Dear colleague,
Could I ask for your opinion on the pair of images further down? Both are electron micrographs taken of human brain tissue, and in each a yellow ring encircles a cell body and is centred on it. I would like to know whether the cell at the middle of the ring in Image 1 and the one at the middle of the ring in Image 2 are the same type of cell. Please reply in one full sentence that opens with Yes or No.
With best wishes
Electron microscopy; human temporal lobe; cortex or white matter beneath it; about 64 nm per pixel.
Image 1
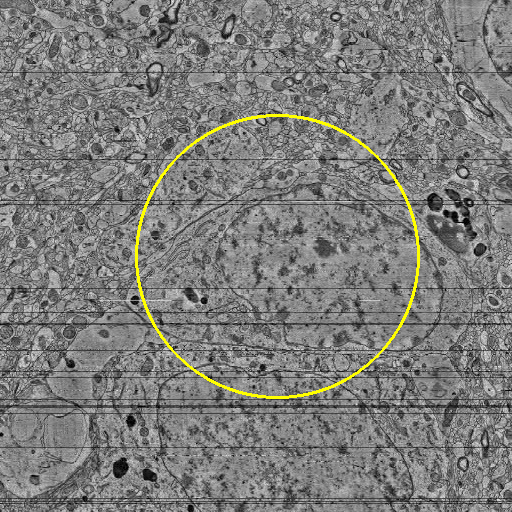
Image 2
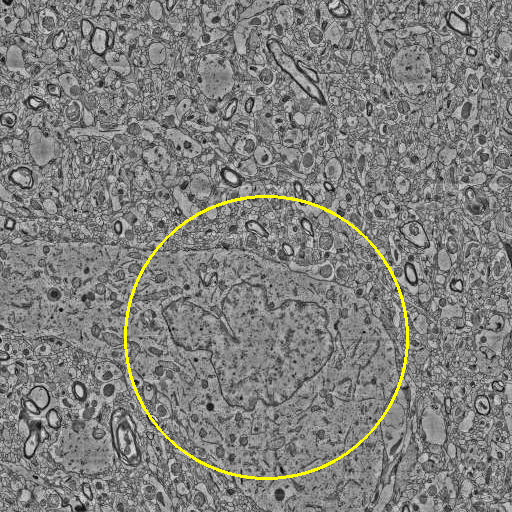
Yes, the cells at the ring centres in Image 1 and Image 2 are of one type.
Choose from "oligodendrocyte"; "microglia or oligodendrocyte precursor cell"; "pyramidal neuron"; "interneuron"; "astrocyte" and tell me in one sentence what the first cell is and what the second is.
The first and the second cell are each an interneuron.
